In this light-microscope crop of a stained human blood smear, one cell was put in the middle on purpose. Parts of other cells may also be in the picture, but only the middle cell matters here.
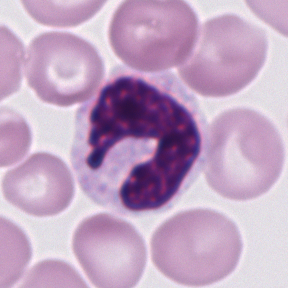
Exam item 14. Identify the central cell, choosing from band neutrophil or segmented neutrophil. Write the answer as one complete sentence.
Framed in the middle of the crop is a band neutrophil.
